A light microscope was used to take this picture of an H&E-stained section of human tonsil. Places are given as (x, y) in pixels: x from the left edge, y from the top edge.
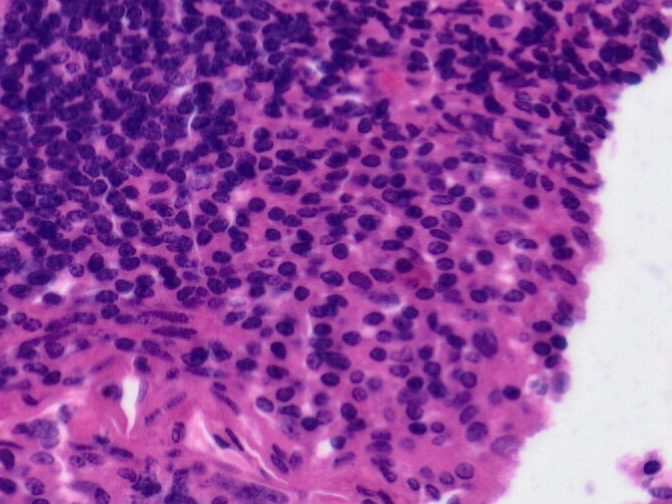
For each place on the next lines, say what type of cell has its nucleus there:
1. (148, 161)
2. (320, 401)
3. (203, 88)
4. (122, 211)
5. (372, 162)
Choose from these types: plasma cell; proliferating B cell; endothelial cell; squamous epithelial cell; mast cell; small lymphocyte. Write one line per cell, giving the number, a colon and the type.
1: small lymphocyte
2: plasma cell
3: small lymphocyte
4: small lymphocyte
5: plasma cell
